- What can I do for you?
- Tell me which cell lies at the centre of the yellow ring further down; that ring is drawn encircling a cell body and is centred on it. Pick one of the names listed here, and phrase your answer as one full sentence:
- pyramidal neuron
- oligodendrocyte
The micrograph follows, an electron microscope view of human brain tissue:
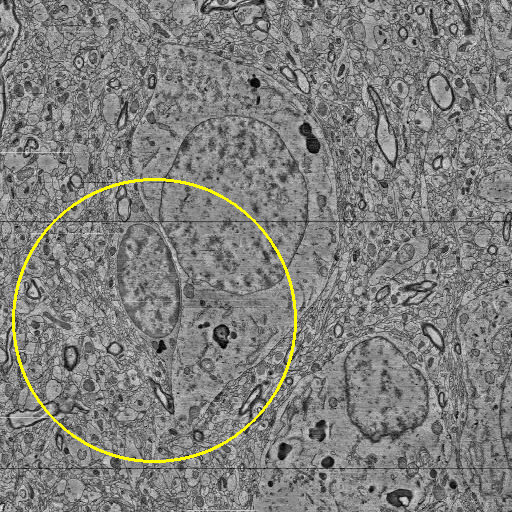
The cell whose body lies at the centre of the yellow ring is an oligodendrocyte.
